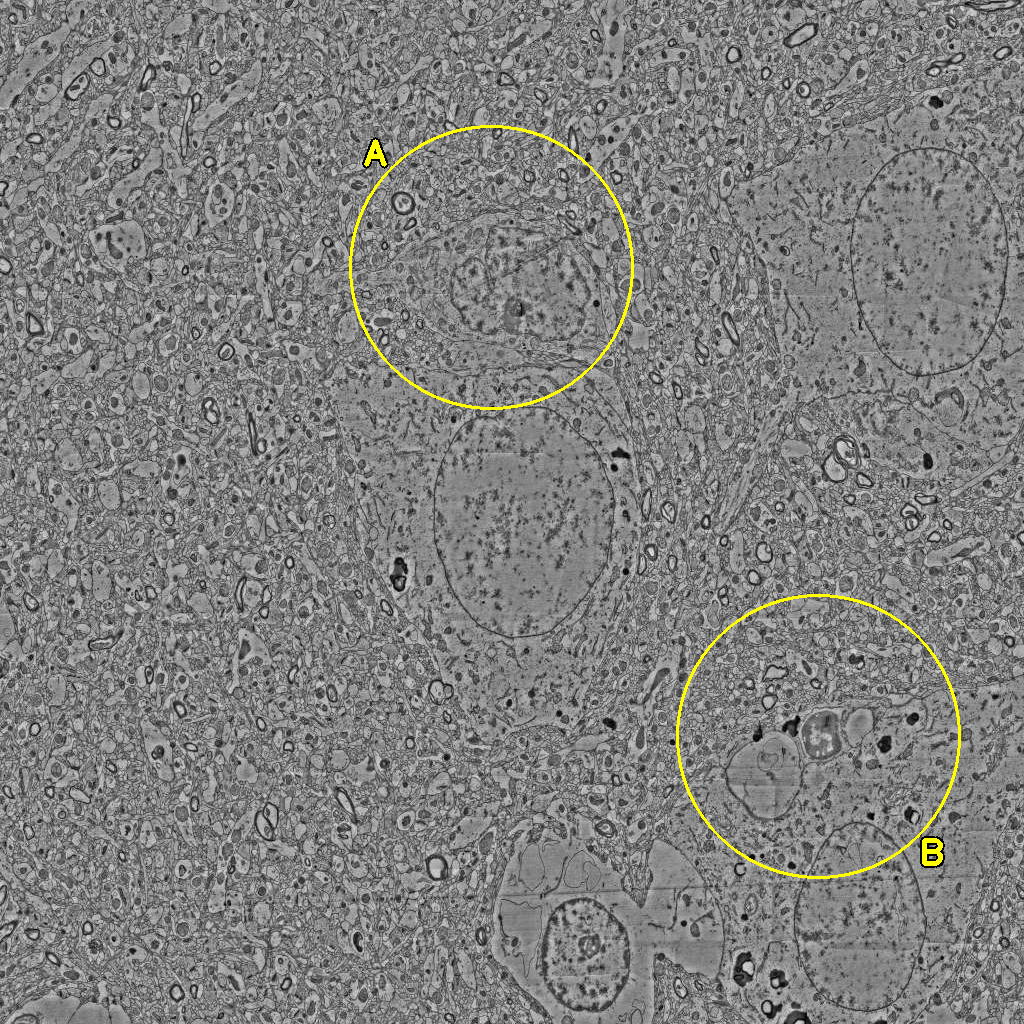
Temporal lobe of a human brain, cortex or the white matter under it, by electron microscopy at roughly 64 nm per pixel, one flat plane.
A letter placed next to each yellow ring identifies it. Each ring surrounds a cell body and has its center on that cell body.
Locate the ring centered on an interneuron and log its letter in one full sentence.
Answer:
Ring A has at its center the cell that the task asks for.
